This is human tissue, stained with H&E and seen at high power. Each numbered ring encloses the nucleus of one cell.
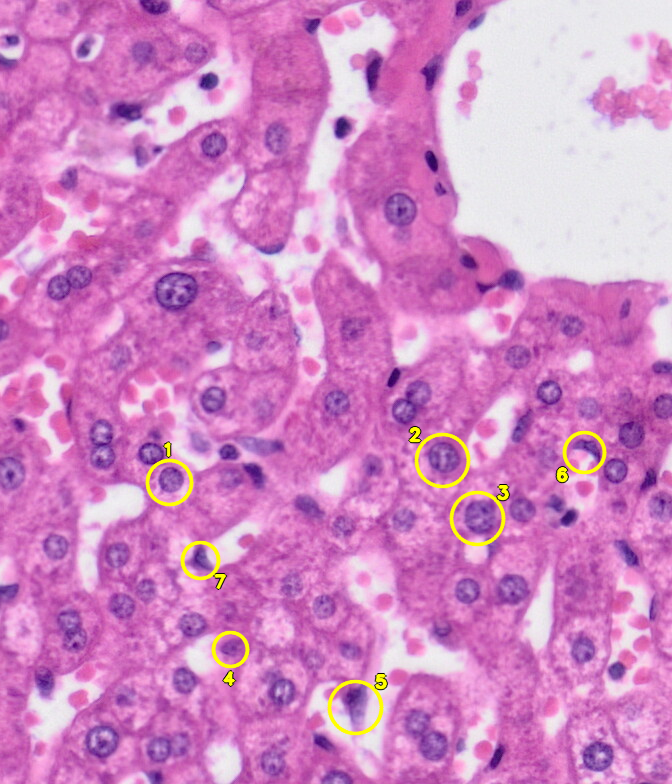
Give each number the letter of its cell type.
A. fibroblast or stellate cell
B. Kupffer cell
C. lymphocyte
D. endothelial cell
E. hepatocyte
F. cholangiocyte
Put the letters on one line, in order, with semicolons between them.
E; E; E; B; B; D; D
